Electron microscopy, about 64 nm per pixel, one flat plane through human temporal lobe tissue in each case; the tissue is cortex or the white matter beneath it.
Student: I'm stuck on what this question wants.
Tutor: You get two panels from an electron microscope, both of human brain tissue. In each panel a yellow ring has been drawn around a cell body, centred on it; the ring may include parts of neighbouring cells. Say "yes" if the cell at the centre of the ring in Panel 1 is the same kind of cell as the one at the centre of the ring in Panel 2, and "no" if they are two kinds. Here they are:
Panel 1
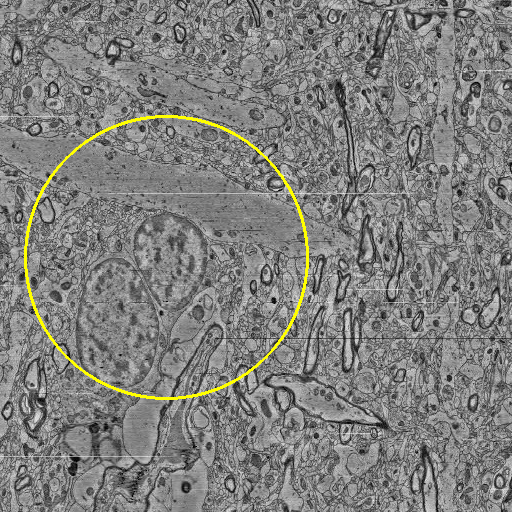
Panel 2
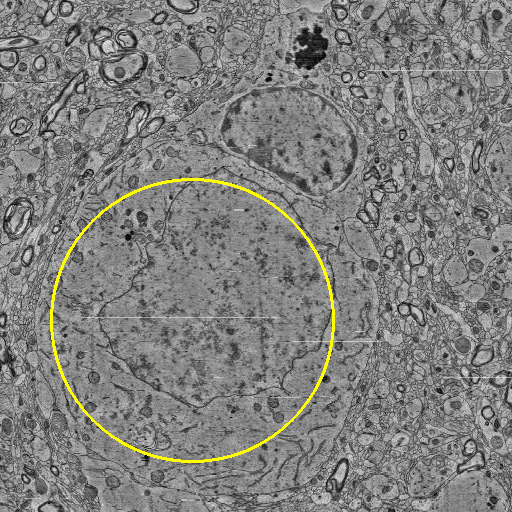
no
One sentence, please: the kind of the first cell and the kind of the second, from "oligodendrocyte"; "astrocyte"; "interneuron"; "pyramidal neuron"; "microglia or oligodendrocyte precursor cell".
The ring in the first picture surrounds an oligodendrocyte, and the ring in the second surrounds a pyramidal neuron.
